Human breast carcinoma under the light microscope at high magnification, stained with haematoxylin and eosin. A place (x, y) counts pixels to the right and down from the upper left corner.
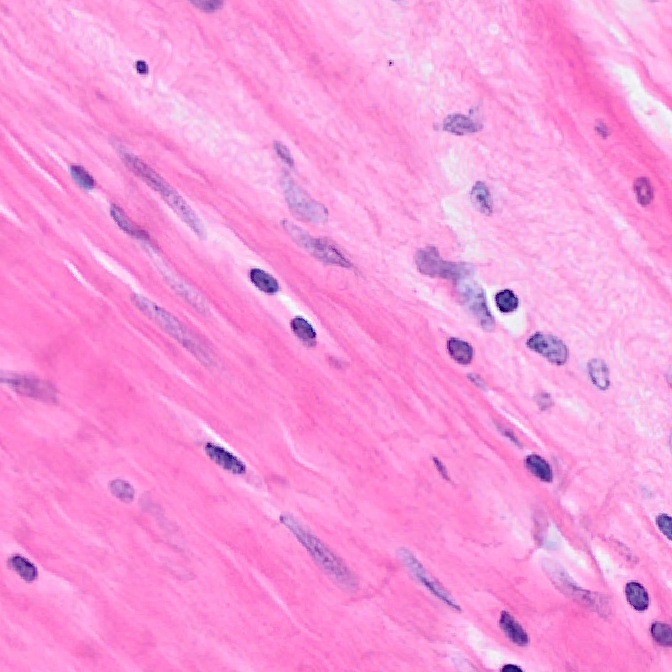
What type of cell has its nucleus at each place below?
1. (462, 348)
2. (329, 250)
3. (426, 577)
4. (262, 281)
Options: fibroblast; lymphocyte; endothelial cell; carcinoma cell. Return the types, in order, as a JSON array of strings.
["lymphocyte", "fibroblast", "fibroblast", "lymphocyte"]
